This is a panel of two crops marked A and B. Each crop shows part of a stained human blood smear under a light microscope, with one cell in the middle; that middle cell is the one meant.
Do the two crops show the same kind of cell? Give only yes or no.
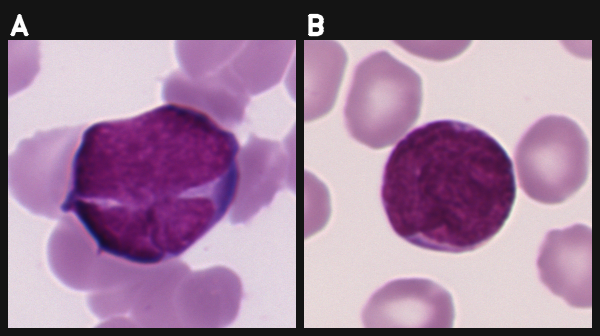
yes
